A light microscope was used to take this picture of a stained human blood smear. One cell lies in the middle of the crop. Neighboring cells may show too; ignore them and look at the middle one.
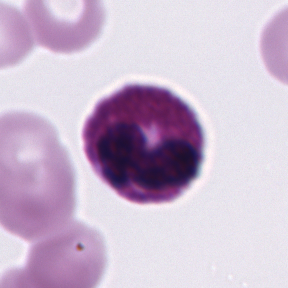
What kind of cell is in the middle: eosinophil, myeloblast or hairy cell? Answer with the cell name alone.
eosinophil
